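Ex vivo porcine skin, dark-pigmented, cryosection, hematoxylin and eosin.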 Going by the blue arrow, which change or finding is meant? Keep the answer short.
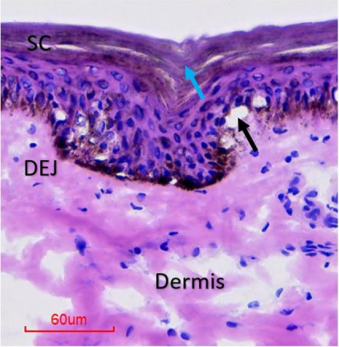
Localized architectural disarray.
